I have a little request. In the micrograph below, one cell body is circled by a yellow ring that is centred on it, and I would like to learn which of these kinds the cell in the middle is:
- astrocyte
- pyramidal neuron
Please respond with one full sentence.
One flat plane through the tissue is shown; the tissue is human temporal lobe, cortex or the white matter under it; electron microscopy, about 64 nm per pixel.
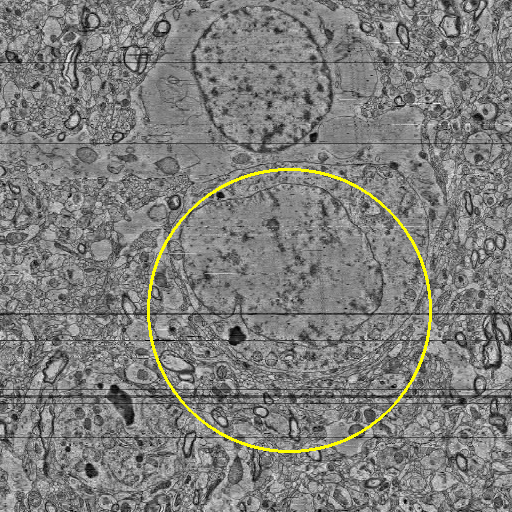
The cell sitting in the middle of the yellow ring in the micrograph is a pyramidal neuron.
